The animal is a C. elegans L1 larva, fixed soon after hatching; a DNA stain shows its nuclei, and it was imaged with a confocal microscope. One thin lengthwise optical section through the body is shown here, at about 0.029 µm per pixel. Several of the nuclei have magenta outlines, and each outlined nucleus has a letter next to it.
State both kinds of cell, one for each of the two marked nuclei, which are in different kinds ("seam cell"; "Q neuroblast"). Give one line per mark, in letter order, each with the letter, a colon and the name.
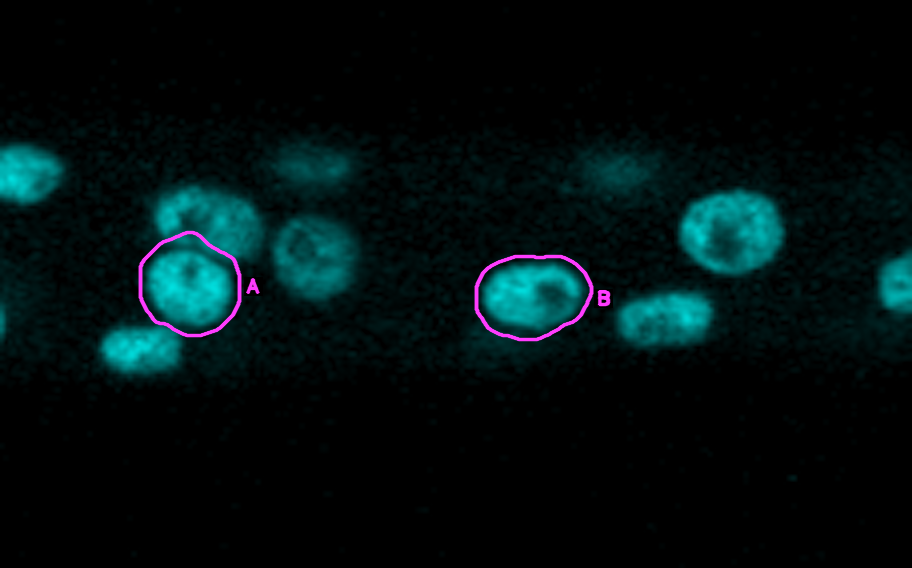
A: Q neuroblast
B: seam cell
